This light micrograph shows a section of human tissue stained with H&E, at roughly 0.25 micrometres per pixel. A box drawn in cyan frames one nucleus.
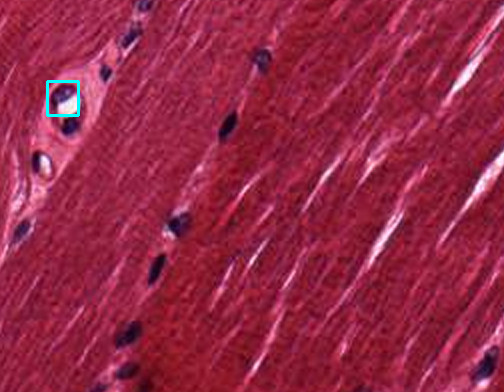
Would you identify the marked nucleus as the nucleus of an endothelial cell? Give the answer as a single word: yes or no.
yes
